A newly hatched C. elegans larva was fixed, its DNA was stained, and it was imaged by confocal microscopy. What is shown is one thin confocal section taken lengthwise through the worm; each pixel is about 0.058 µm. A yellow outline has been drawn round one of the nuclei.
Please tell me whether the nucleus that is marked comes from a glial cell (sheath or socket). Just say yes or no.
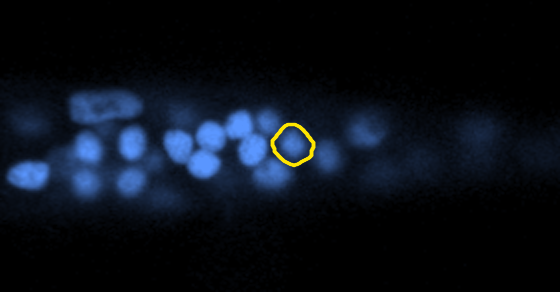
yes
